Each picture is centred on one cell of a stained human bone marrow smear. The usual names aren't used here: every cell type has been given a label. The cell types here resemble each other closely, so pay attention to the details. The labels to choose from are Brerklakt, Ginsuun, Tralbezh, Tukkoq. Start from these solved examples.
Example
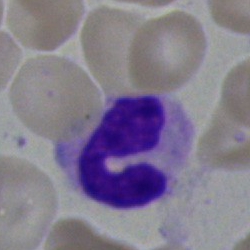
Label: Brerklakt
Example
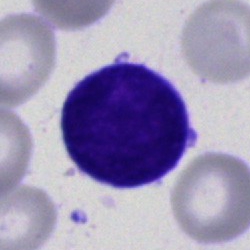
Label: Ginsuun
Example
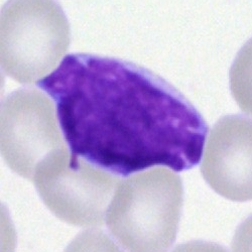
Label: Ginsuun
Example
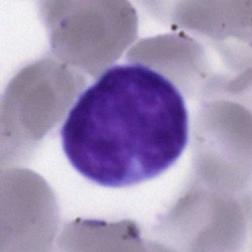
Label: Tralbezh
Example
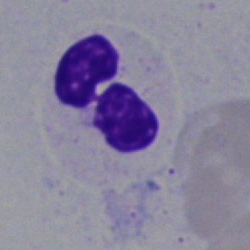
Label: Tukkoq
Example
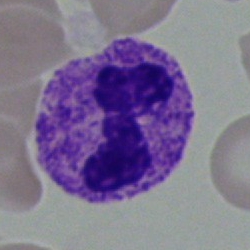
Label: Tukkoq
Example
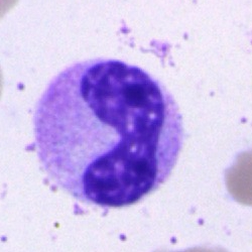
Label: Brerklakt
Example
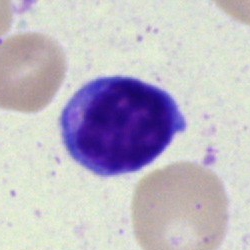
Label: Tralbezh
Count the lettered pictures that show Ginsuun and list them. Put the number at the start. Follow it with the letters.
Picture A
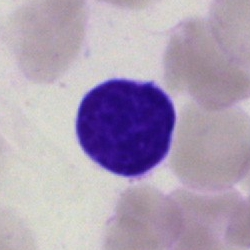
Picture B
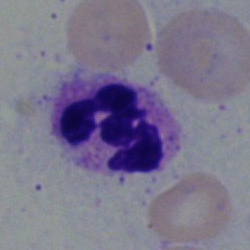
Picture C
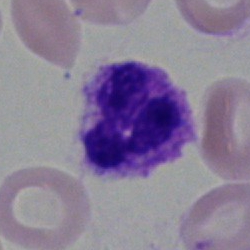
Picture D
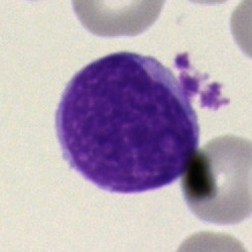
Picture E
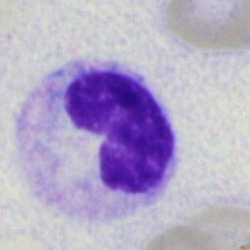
1, namely D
